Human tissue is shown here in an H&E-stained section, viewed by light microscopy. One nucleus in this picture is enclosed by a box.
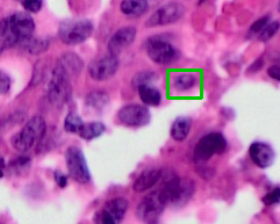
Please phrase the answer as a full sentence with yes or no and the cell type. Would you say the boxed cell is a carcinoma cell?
No, the boxed cell is not a carcinoma cell, but is instead a macrophage or monocyte.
